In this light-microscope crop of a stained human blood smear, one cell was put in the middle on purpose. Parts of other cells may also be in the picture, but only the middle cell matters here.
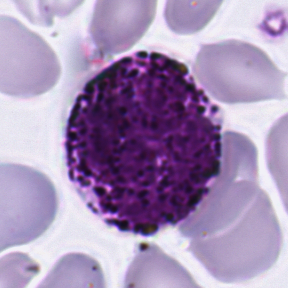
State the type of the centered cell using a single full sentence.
The cell of interest, located centrally, is a basophil.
